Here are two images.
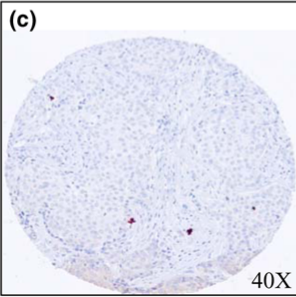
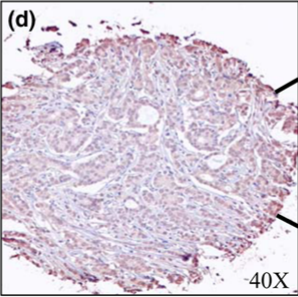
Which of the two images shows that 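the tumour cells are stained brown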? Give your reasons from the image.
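First image: the core is pale, with blue nuclei and only a few isolated dark dots. The answer: the second image.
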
